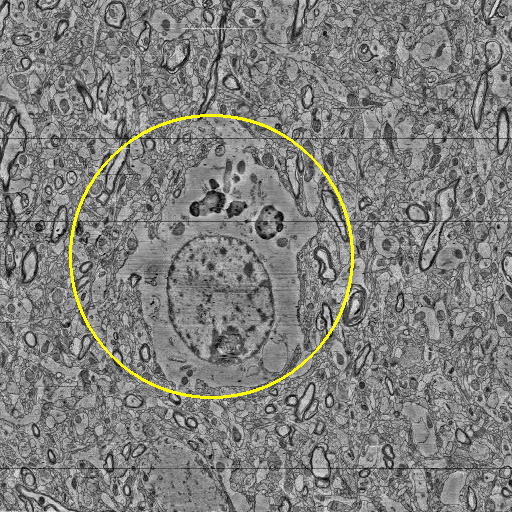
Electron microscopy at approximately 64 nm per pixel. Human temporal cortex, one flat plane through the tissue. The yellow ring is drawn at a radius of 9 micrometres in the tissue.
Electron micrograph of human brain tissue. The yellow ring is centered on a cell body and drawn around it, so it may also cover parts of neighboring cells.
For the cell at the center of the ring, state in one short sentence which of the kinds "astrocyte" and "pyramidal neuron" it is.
This ring is centered on an astrocyte.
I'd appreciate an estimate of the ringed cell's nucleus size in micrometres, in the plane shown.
The nucleus of the ringed cell is approximately 9 by 7 micrometres in this plane.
